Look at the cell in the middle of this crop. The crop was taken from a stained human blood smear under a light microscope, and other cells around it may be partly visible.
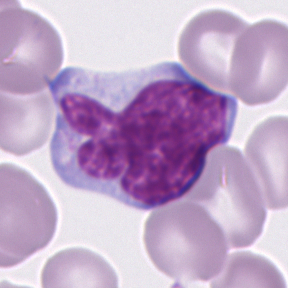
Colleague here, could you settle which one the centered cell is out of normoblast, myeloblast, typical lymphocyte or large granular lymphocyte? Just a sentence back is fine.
By classification, the middle cell of this crop is a myeloblast.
